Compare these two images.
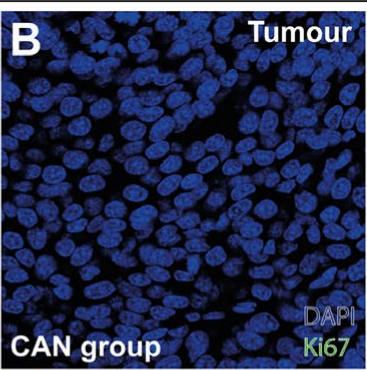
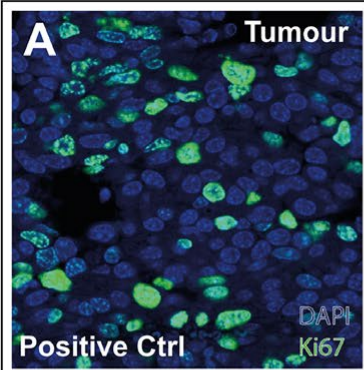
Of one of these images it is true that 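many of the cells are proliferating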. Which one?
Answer: The second image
